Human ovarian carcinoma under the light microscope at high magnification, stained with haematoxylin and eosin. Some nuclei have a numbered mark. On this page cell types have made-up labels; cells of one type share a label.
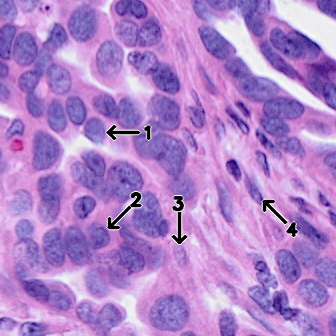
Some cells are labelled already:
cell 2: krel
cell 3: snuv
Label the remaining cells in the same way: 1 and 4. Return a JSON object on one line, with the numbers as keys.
{"1": "krel", "4": "snuv"}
